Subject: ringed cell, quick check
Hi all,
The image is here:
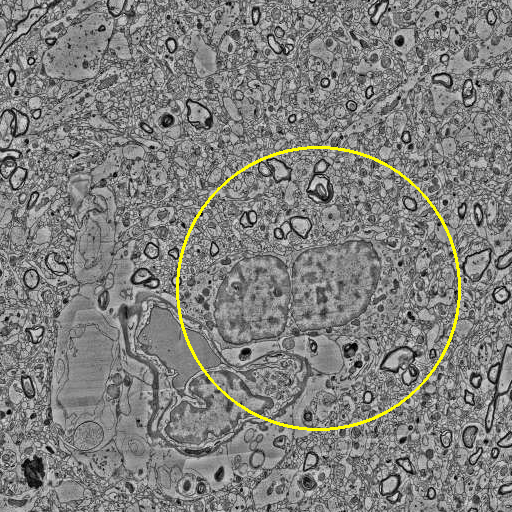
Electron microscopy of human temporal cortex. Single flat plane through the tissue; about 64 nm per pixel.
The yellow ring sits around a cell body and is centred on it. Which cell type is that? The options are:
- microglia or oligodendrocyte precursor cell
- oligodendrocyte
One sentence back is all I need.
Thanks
That ringed cell is an oligodendrocyte.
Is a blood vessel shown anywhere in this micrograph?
Yes, there is a blood vessel in the image.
